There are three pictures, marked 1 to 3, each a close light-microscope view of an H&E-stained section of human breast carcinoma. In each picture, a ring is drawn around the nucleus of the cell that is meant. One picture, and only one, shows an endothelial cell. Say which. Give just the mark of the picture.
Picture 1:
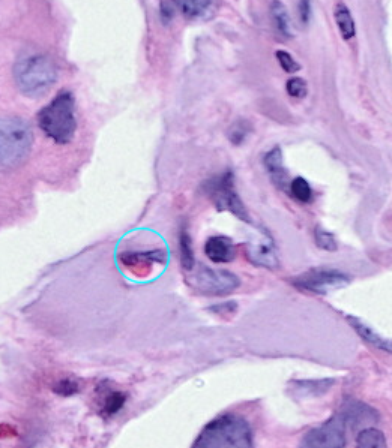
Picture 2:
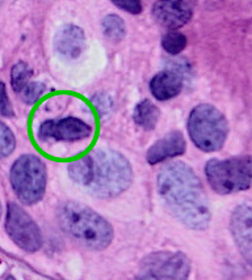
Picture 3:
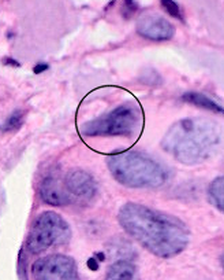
1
